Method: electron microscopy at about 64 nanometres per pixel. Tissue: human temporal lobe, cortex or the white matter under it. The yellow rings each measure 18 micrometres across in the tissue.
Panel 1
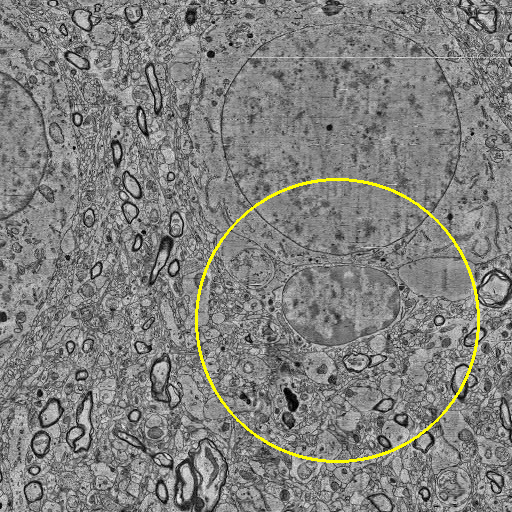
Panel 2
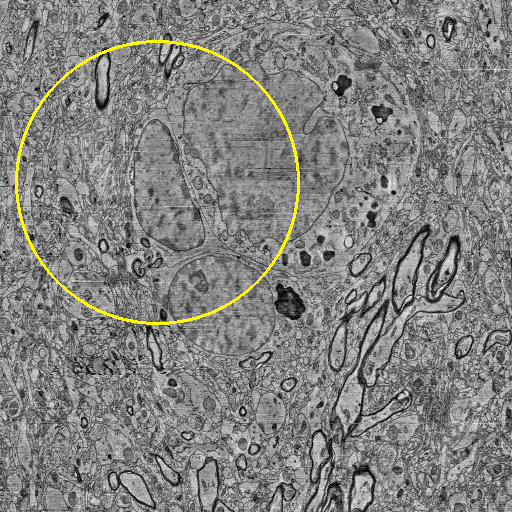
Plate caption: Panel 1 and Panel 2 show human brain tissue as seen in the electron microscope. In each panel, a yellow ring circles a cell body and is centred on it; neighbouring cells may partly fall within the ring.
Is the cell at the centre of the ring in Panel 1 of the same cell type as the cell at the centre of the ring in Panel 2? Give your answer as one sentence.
Yes, the two cells are of the same type.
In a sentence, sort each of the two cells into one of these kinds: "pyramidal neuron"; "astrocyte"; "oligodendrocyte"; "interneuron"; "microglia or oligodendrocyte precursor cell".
The ring centre holds a microglial cell or oligodendrocyte precursor cell in each of the two pictures.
